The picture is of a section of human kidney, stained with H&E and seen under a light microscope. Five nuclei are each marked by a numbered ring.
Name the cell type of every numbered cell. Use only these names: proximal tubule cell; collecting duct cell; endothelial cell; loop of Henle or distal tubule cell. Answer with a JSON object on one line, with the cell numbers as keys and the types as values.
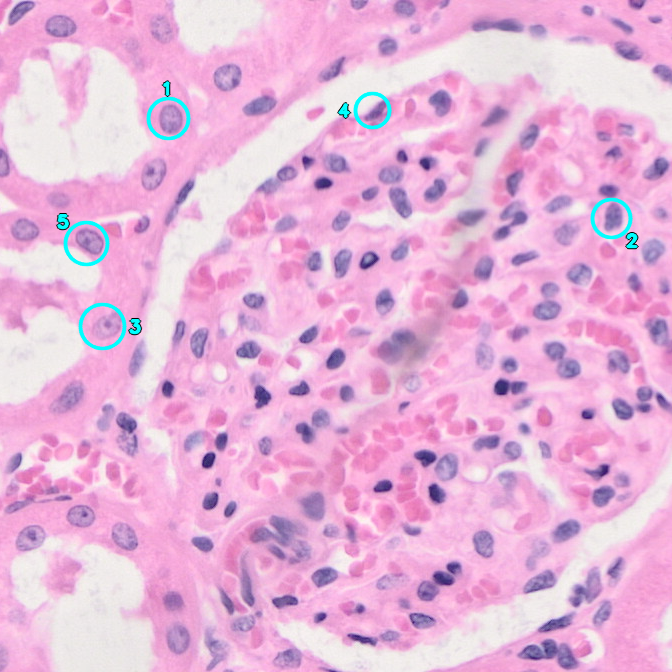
{"1": "proximal tubule cell", "2": "endothelial cell", "3": "proximal tubule cell", "4": "endothelial cell", "5": "proximal tubule cell"}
